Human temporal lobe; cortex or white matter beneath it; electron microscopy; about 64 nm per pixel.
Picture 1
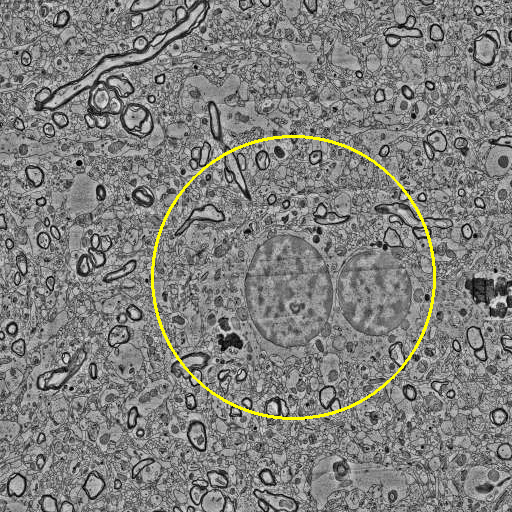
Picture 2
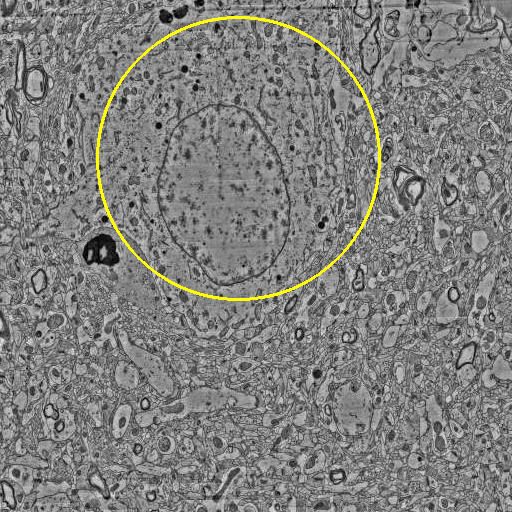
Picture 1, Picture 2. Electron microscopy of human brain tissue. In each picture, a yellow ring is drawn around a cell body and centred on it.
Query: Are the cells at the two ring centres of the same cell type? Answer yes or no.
no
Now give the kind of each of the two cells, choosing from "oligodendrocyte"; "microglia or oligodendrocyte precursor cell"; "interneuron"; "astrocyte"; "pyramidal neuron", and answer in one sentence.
The cell in the first picture is an oligodendrocyte, and the cell in the second is a pyramidal neuron.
